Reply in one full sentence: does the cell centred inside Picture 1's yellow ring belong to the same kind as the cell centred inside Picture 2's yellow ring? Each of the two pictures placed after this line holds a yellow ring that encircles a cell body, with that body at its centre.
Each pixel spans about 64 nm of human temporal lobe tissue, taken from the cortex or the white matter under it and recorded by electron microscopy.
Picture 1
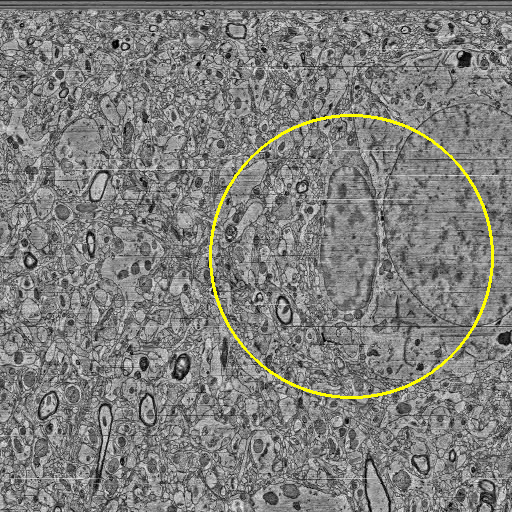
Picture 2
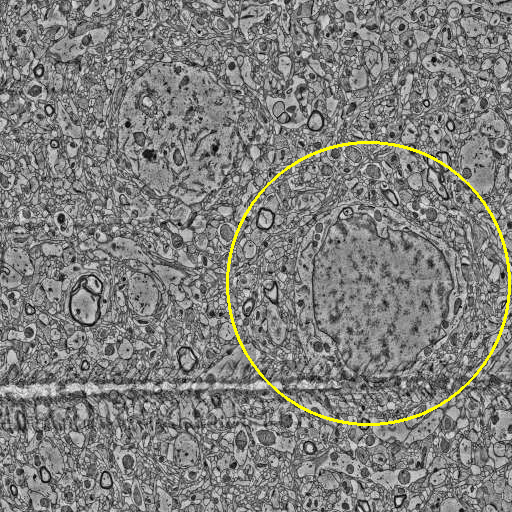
No, the ring-centred cells in Picture 1 and Picture 2 are of two separate kinds.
